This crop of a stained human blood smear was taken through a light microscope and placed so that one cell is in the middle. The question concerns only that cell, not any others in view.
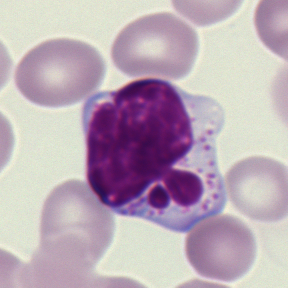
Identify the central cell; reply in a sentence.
The cell of interest, in the center, is a large granular lymphocyte.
